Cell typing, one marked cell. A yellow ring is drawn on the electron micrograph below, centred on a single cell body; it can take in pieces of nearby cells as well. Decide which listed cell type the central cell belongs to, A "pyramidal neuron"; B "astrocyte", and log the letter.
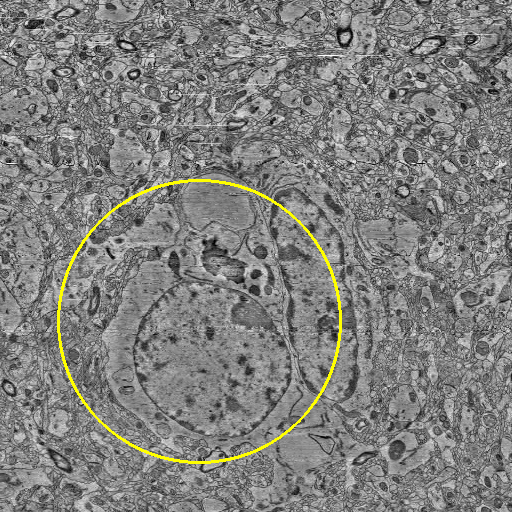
B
